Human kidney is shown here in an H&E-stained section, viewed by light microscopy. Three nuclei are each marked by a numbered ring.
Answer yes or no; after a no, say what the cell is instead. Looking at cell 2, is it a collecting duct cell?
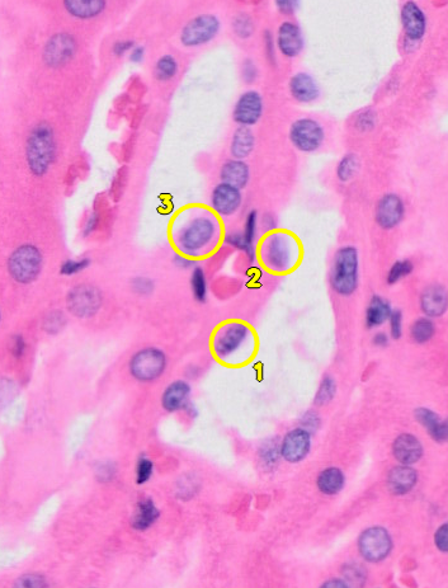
No, it is a loop of Henle or distal tubule cell.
